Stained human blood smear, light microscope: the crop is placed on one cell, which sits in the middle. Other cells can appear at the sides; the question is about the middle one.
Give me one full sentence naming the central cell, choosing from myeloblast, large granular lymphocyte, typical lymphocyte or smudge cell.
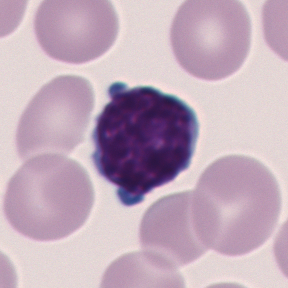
The crop's centre is taken up by a typical lymphocyte.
